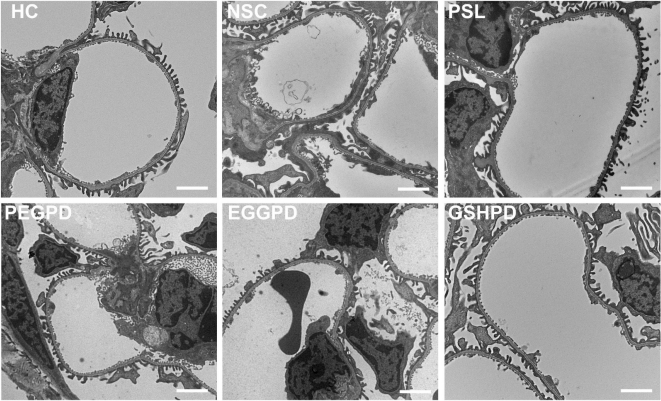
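These electron micrographs show glomerular capillary loops of the kidney. Each image is dominated by one or more round, largely empty capillary lumens bounded by a thin wall. Along the outer face of the wall runs a row of small, regularly spaced projections, the foot processes of the epithelial cells that cover the capillaries. Cells with dark, dense nuclei lie between the loops and pressed against their walls. In one image a dark red blood cell sits inside a lumen. In some images the lumen holds pale, flocculent or membranous material, and in places the row of projections along the wall looks less regular than in others.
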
